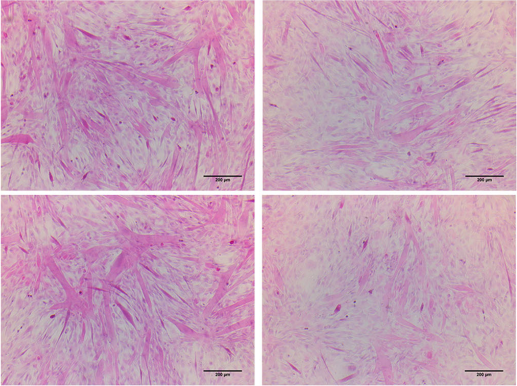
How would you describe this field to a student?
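In the left pair of images the myotubes are numerous, broad and long, crossing one another in many directions and forming a dense, interwoven network. In the right pair the strongly pink structures are fewer, thinner and shorter, and they stand more isolated from one another. In both, the background is crowded with pale, elongated cells with small purple nuclei that have not joined into myotubes. Taken together, the right images show much less fusion into large, thick myotubes than the left ones.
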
